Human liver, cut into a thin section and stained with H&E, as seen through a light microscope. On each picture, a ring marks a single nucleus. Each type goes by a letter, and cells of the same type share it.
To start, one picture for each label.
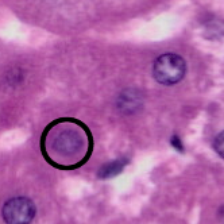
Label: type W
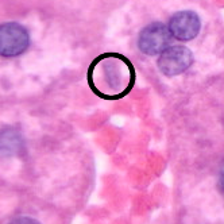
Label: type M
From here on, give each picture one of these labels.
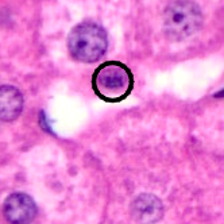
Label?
type M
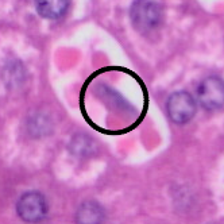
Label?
type M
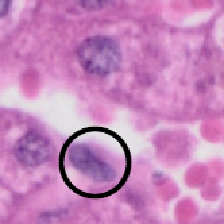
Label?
type M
